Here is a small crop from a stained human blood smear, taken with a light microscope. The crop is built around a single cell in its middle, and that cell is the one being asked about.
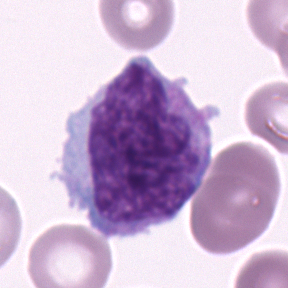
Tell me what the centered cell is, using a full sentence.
The cell marked by its central position in the crop is an atypical promyelocyte.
